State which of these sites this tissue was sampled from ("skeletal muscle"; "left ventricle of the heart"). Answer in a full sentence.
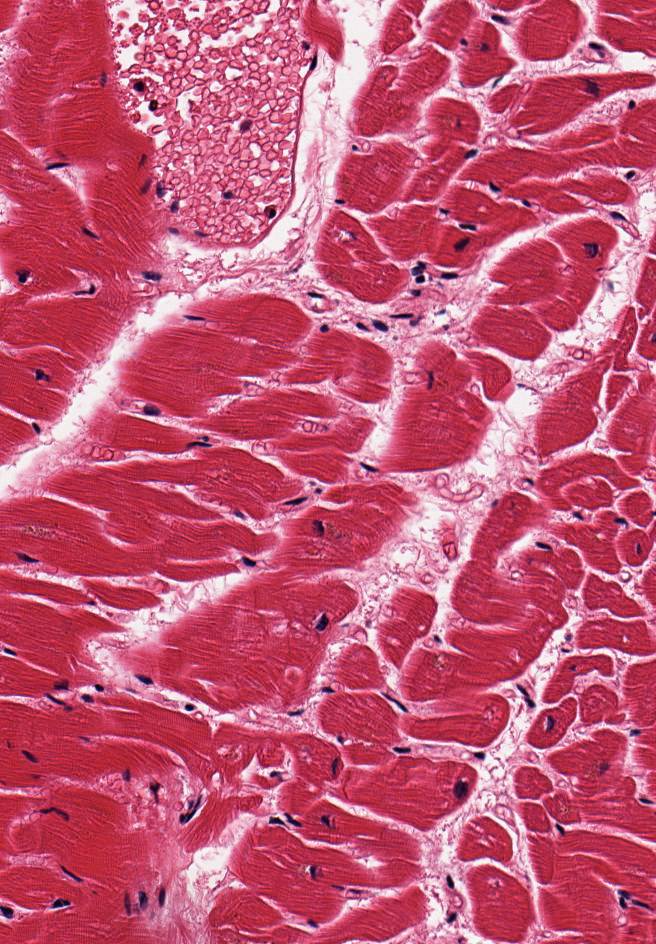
The site this tissue was sampled from is the left ventricle of the heart.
